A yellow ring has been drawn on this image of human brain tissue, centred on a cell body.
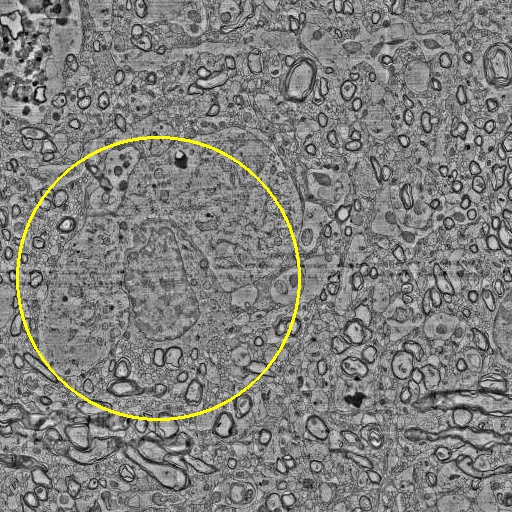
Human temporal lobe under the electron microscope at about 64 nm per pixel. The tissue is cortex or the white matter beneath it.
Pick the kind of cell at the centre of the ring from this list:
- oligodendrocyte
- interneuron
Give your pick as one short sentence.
The centre of the ring holds an oligodendrocyte.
